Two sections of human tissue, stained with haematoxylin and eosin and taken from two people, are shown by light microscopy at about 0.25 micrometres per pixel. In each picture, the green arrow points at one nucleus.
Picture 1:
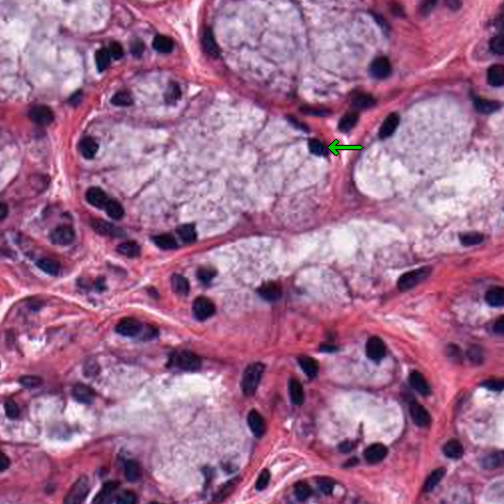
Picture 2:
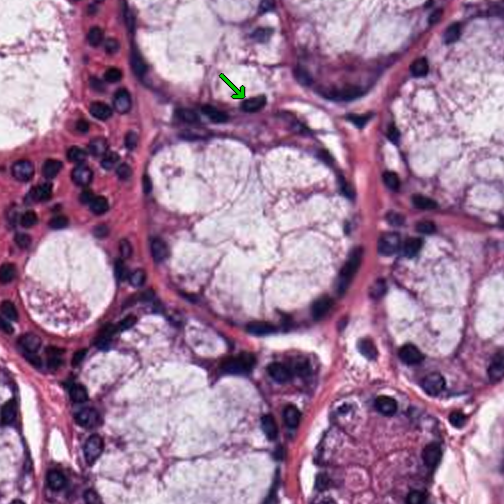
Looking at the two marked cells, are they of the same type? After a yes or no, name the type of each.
Yes, both are mucous gland cells.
